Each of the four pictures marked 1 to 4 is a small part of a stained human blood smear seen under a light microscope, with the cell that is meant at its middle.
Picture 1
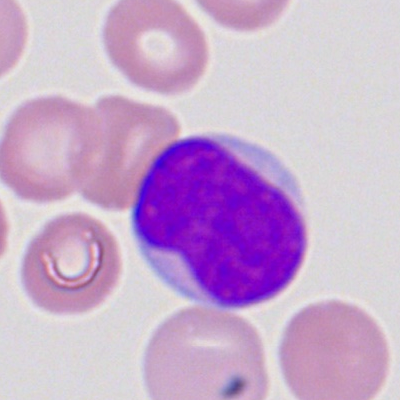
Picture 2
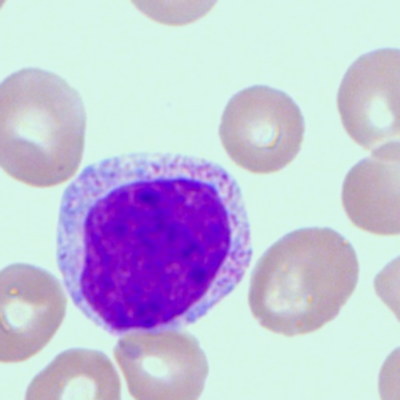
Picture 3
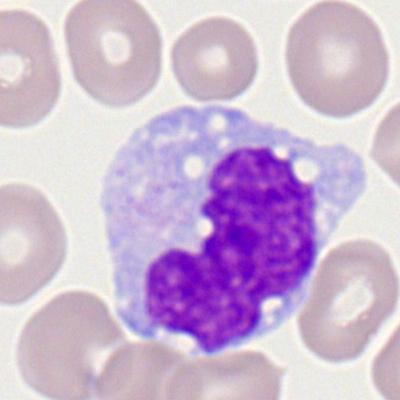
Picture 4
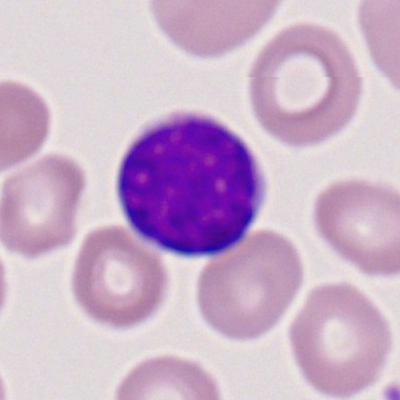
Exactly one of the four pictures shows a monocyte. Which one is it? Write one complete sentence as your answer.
The picture with the monocyte is 3.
